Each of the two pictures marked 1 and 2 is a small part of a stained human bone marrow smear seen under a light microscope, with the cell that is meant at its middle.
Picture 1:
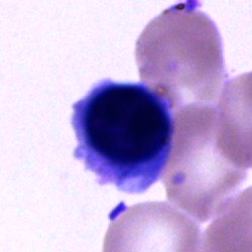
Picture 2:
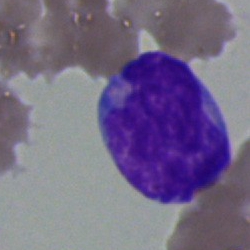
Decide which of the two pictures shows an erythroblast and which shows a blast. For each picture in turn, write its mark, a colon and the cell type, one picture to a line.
1: erythroblast
2: blast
